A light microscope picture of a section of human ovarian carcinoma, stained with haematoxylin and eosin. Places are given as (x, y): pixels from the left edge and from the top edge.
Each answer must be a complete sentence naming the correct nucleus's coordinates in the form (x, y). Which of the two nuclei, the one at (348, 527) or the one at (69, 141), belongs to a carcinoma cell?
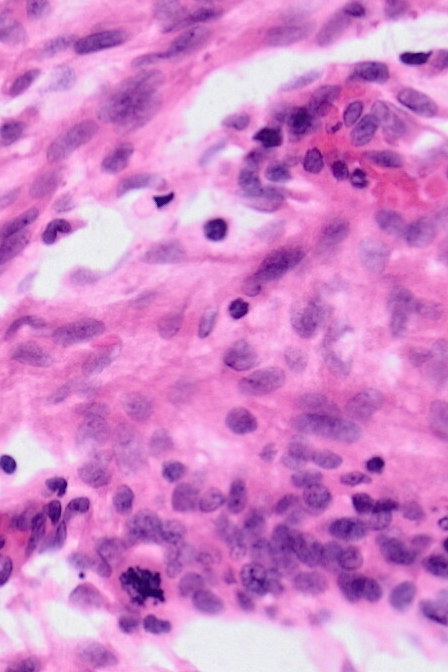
Of the two, the nucleus at (348, 527) is the one contained in a carcinoma cell.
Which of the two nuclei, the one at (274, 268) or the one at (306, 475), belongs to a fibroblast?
Among the two, the nucleus at (274, 268) is the nucleus of a fibroblast.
